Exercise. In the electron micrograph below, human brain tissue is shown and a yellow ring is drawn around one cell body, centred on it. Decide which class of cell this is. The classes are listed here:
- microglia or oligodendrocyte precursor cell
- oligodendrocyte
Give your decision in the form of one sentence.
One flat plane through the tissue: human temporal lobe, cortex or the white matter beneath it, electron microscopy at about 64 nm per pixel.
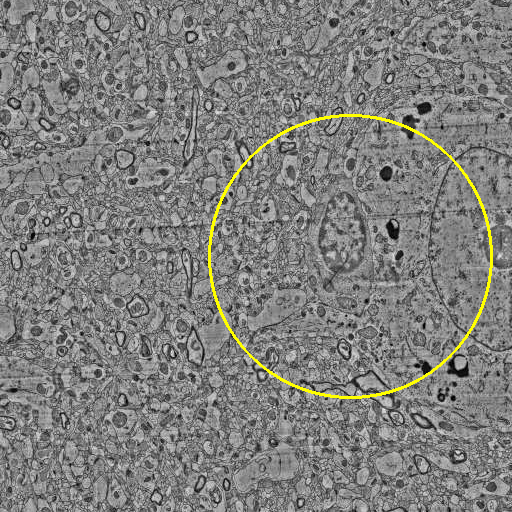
The cell body marked by the ring belongs to an oligodendrocyte.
